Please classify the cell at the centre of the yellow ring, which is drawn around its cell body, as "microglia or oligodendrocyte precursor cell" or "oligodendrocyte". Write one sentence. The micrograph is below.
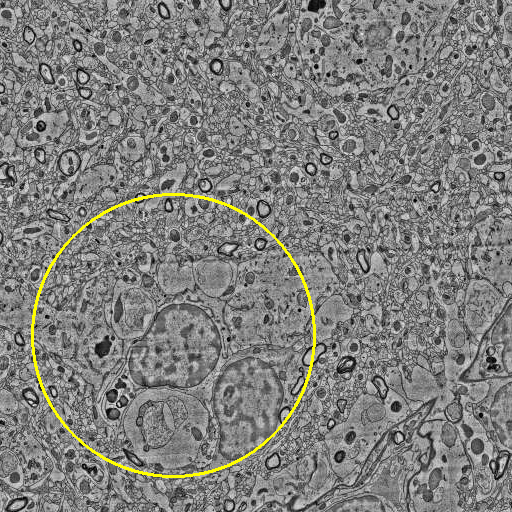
The cell at the ring's centre is classified as a microglial cell or oligodendrocyte precursor cell.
